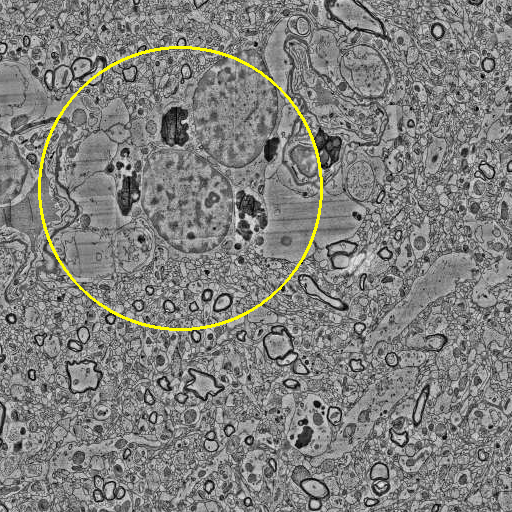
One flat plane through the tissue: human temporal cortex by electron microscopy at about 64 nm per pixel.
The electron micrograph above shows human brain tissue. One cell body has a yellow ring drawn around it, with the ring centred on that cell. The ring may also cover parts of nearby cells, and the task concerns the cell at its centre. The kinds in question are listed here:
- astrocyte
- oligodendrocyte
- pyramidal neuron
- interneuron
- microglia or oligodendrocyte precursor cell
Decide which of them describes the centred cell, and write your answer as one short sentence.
The centred cell is an oligodendrocyte.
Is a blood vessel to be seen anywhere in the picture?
Yes, there is one.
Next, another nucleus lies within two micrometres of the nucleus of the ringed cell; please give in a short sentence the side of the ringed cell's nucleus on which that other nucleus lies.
The other nucleus sits above it.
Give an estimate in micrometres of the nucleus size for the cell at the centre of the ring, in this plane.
Roughly 8 by 6 micrometres in this plane, for the nucleus of the ringed cell.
